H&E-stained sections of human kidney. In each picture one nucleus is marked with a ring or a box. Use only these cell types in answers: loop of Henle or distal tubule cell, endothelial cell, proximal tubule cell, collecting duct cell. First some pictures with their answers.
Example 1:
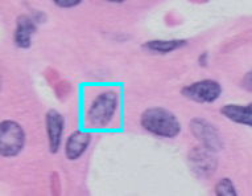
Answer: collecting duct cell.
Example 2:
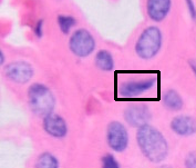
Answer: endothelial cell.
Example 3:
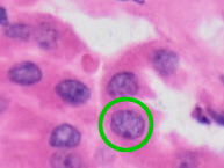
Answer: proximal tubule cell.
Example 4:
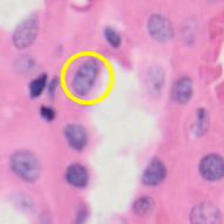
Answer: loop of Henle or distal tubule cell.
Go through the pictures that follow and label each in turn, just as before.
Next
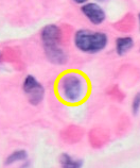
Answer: endothelial cell.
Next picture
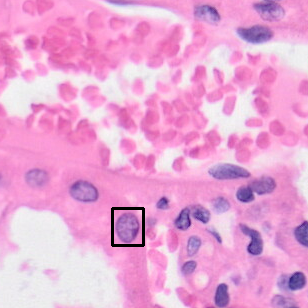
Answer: proximal tubule cell.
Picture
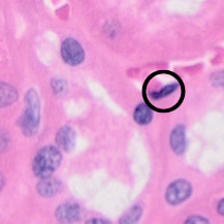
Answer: endothelial cell.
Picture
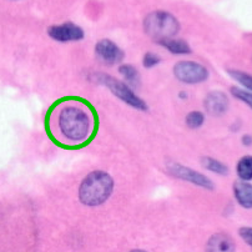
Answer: proximal tubule cell.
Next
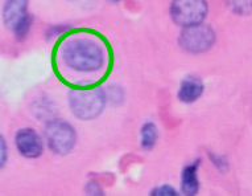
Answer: collecting duct cell.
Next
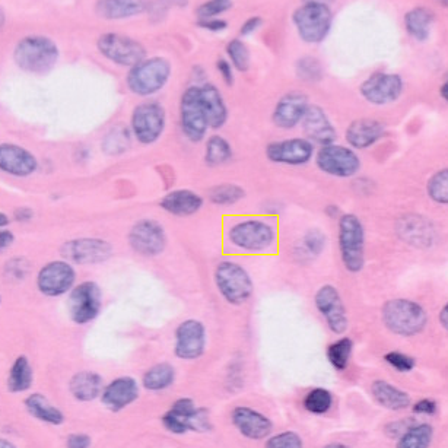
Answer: collecting duct cell.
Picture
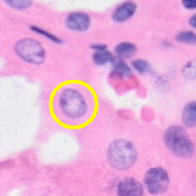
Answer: proximal tubule cell.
